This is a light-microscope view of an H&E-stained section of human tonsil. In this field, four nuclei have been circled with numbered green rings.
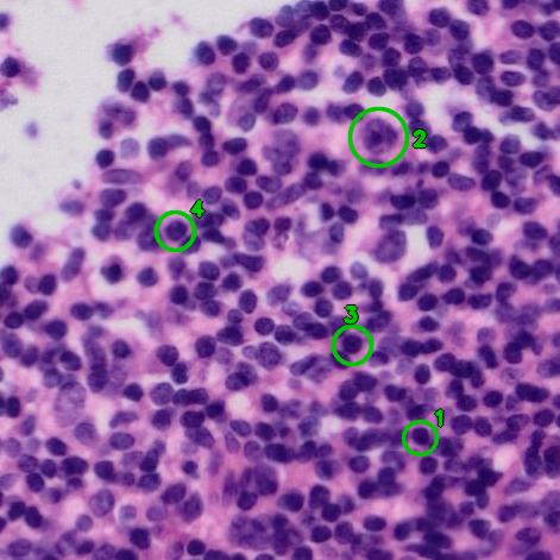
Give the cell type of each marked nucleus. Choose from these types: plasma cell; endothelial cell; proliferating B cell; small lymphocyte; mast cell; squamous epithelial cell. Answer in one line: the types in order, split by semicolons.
small lymphocyte; proliferating B cell; small lymphocyte; small lymphocyte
